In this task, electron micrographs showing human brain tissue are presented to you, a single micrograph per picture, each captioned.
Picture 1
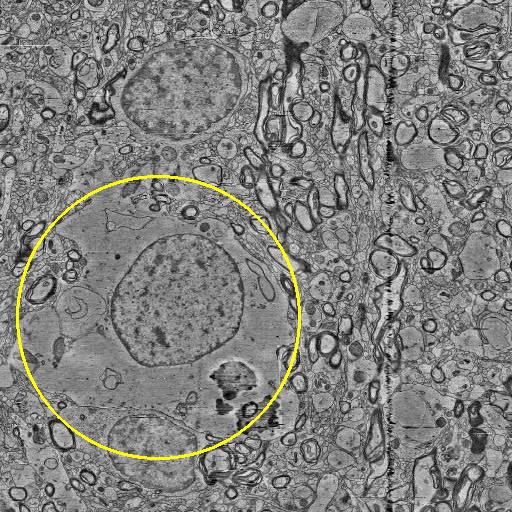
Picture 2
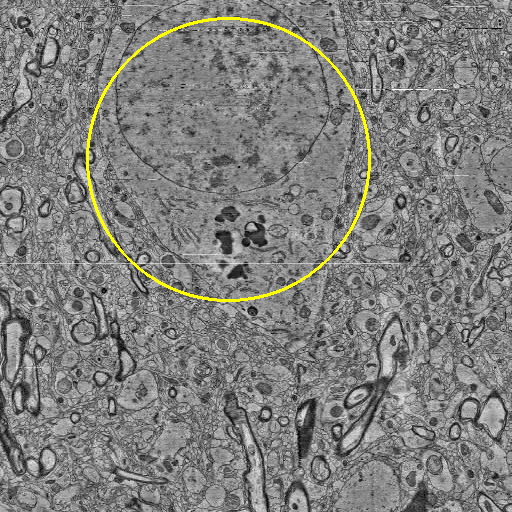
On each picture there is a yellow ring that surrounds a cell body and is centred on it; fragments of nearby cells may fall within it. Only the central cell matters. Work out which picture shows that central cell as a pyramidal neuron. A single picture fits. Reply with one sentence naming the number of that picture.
Of all the pictures, number 2 has the right cell in the centre of its ring.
